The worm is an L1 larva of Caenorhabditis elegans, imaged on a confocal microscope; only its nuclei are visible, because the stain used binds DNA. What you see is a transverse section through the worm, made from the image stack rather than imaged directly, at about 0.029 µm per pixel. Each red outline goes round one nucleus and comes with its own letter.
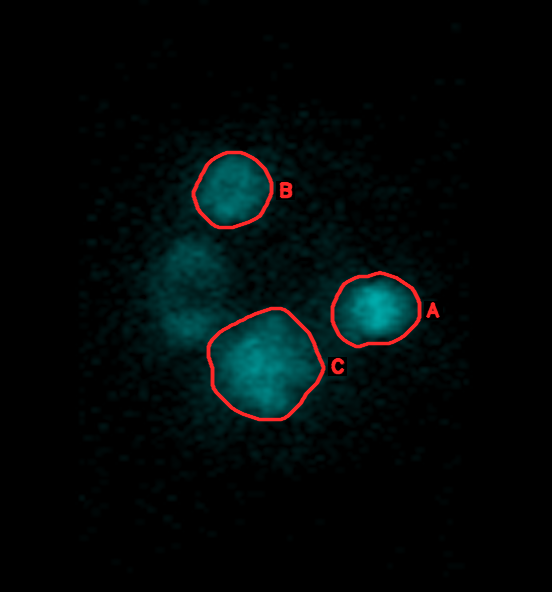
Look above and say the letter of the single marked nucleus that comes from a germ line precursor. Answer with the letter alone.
C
